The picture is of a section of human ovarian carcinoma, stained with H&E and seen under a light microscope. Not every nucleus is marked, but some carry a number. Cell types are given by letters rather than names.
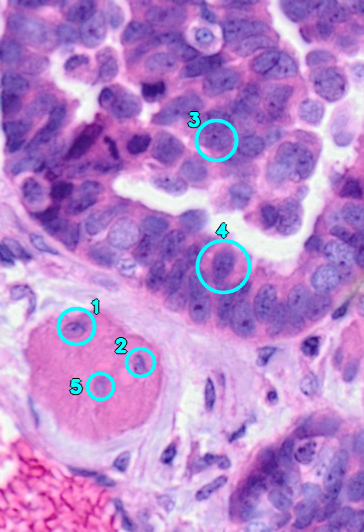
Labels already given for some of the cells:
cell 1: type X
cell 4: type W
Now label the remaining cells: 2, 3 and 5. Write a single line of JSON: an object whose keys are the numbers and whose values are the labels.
{"2": "type X", "3": "type W", "5": "type X"}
